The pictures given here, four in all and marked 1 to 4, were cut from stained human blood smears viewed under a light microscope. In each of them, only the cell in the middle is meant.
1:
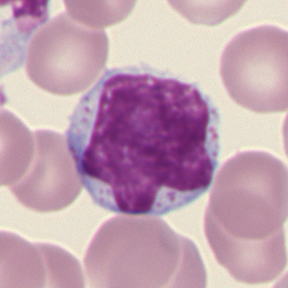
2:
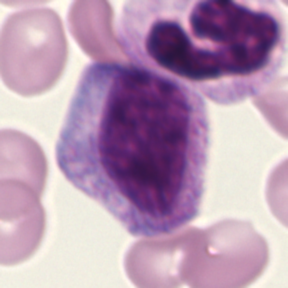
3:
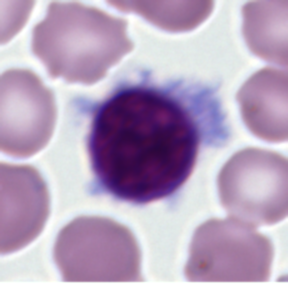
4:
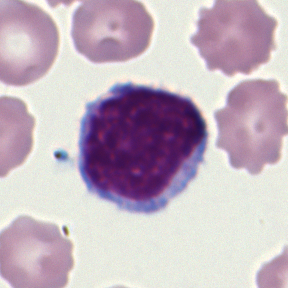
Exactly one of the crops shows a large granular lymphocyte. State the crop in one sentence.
Crop 1, and no other, is the one that shows a large granular lymphocyte.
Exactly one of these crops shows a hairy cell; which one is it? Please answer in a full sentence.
The one crop in the set with a hairy cell is crop 3.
